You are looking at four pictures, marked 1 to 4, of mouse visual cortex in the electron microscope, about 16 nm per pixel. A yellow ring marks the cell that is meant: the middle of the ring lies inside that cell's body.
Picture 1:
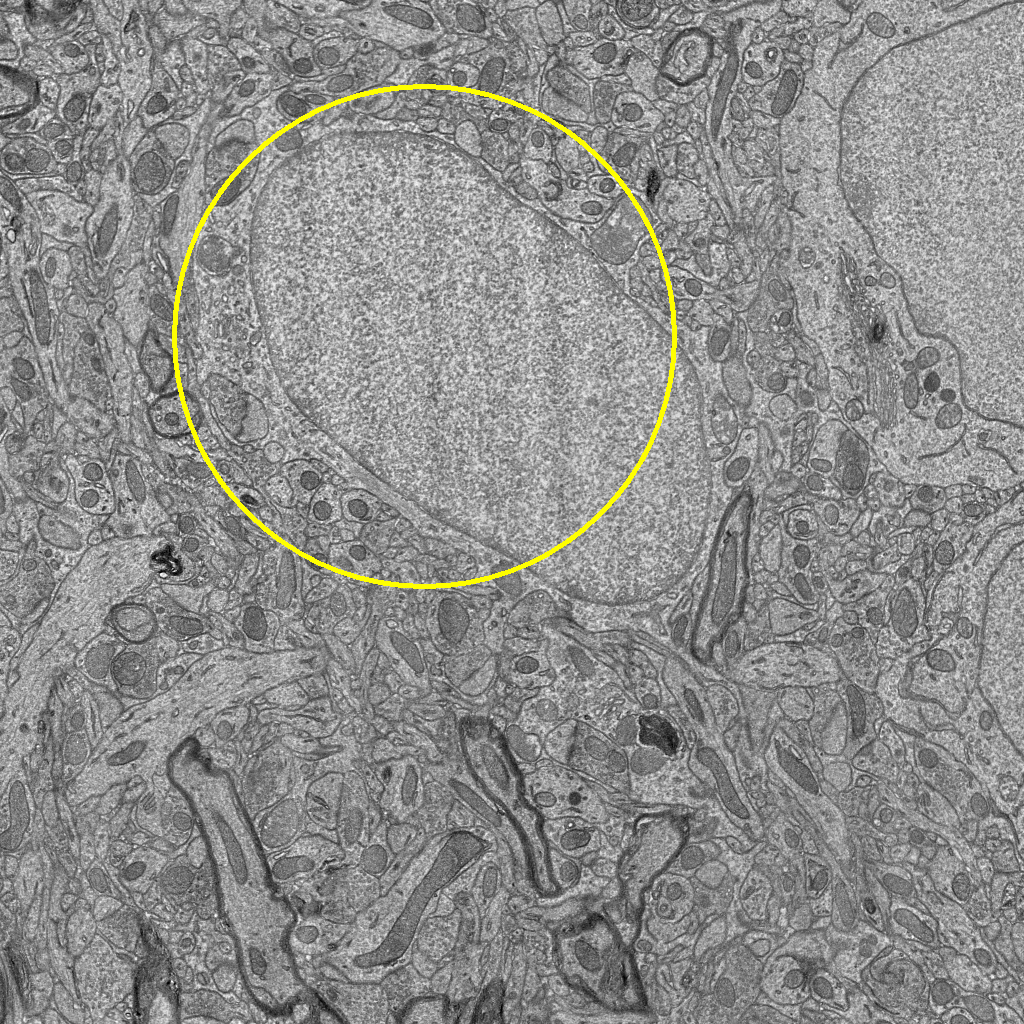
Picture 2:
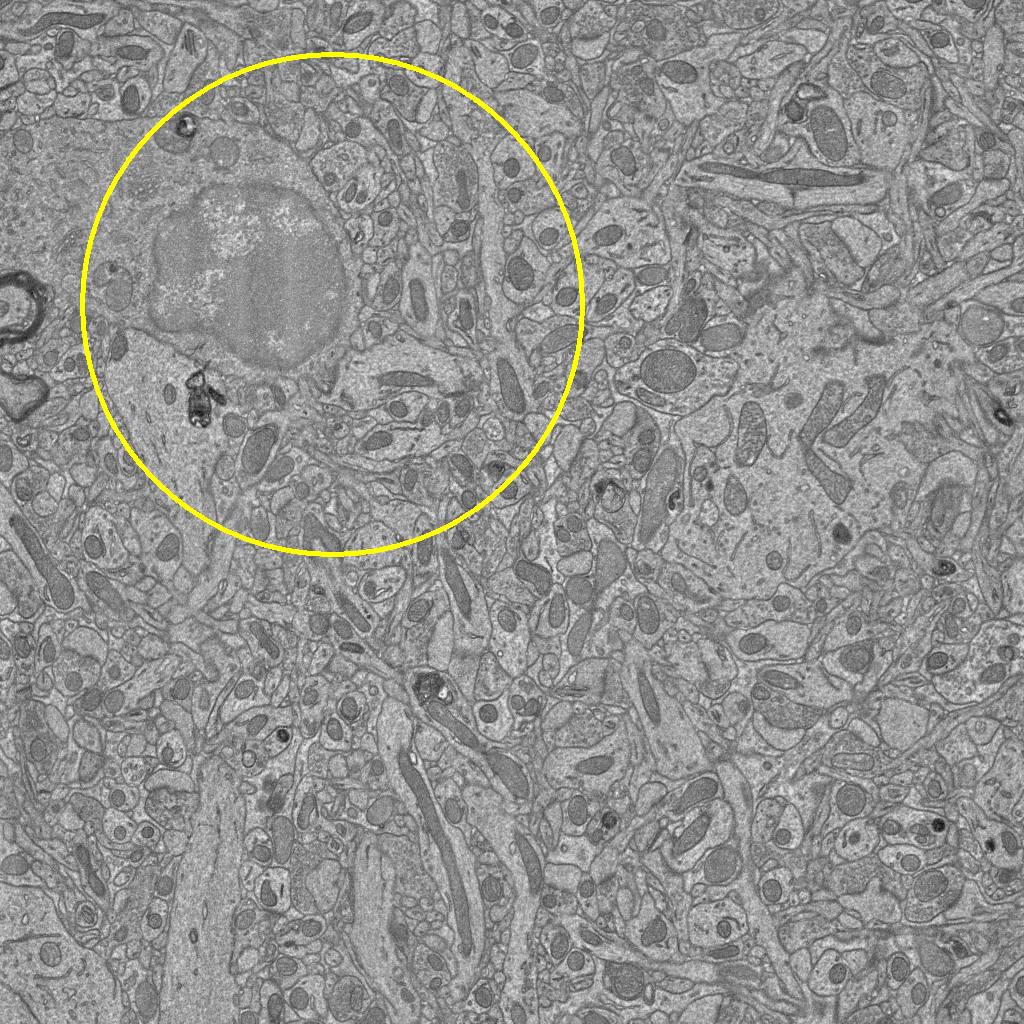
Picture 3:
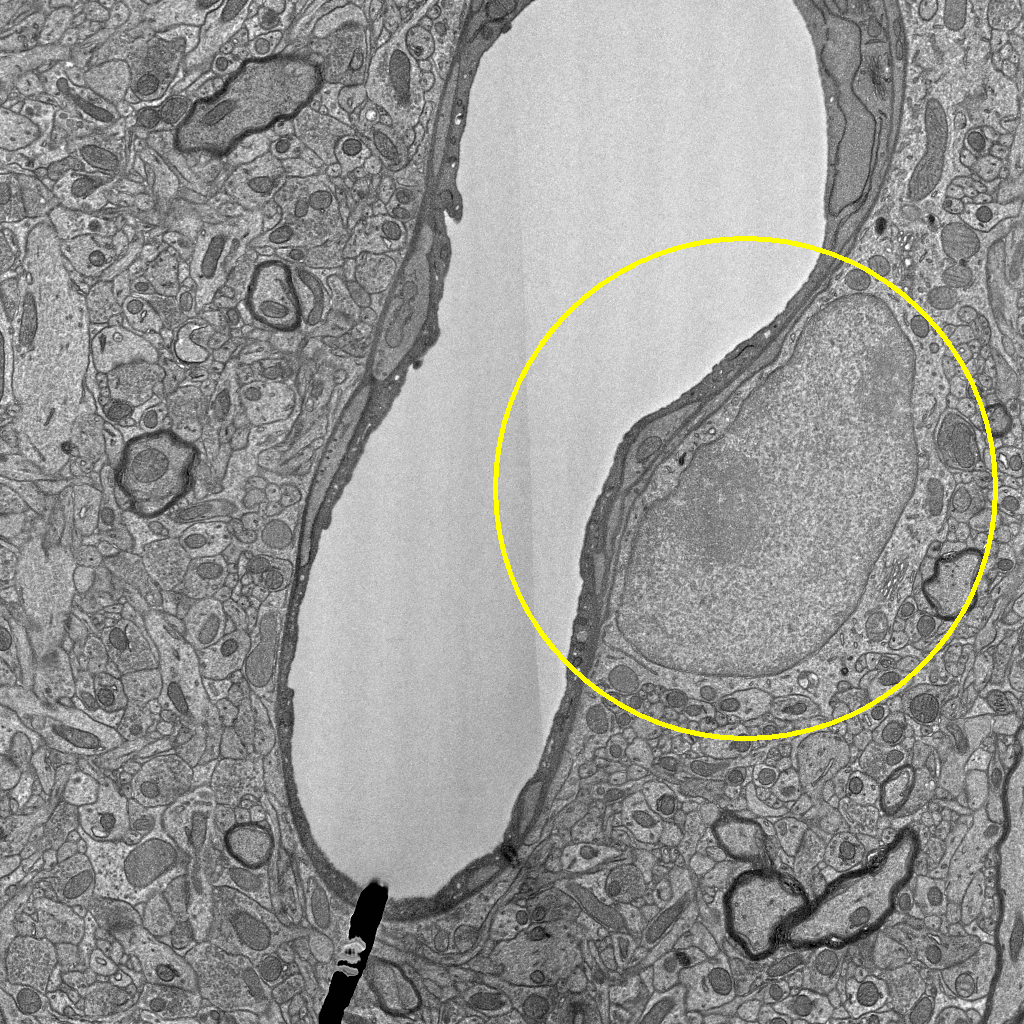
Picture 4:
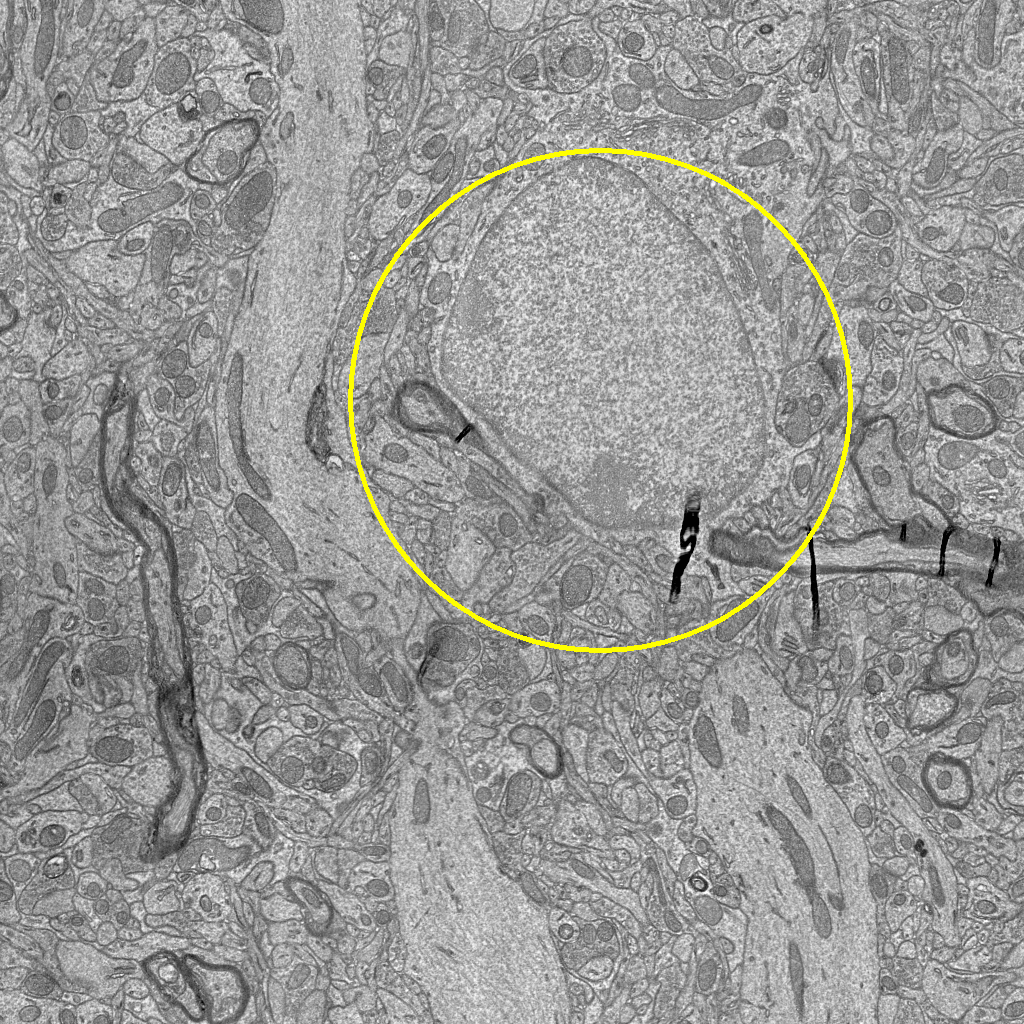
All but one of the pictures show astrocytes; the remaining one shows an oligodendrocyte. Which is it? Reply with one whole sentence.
The cell in picture 2 is the oligodendrocyte.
